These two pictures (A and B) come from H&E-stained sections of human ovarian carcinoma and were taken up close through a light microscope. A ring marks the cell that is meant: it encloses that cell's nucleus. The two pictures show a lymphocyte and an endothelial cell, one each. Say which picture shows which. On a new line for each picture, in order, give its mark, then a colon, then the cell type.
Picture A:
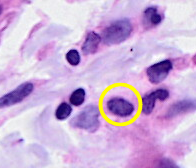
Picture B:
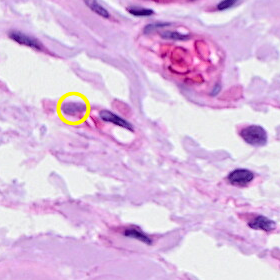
A: lymphocyte
B: endothelial cell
